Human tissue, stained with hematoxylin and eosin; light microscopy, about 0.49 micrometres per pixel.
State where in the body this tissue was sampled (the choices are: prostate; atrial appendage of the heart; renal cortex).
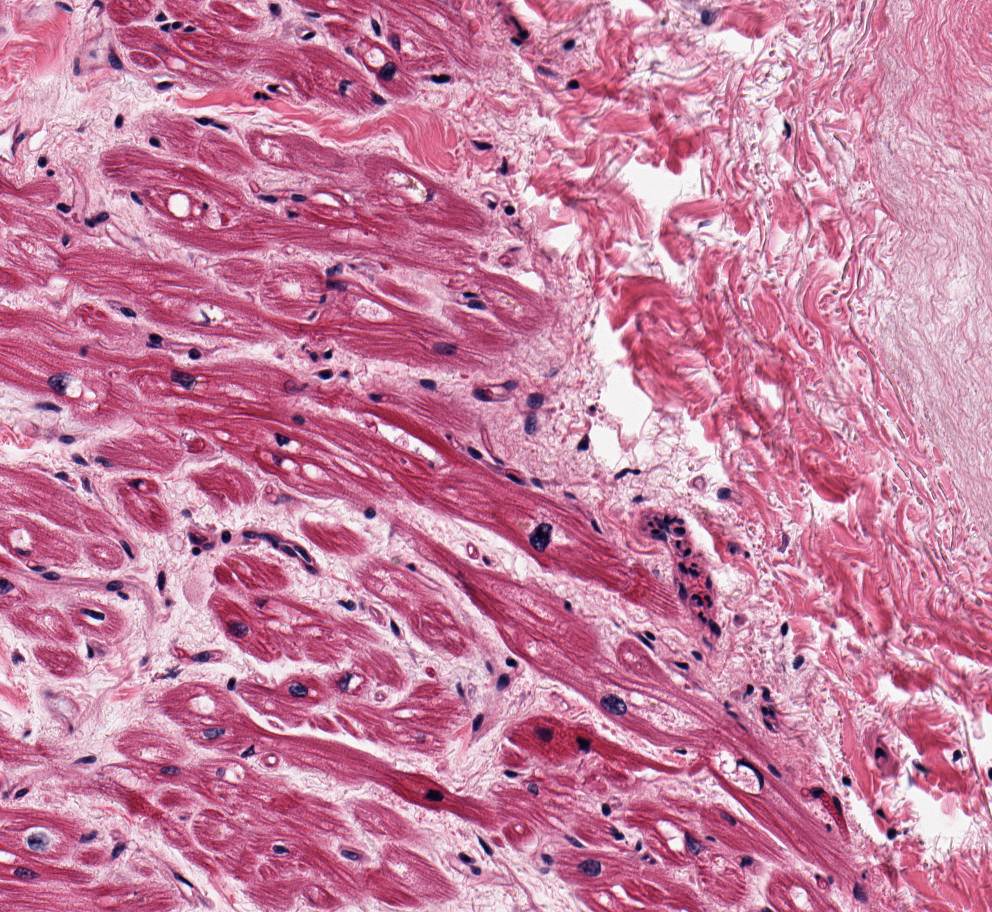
atrial appendage of the heart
